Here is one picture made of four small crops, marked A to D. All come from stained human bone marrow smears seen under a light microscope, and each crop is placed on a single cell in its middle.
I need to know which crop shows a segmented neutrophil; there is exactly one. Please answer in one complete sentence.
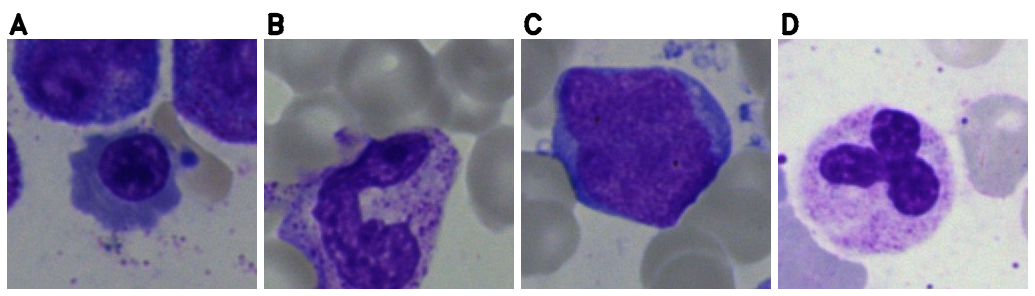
That would be crop D; it shows a segmented neutrophil.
